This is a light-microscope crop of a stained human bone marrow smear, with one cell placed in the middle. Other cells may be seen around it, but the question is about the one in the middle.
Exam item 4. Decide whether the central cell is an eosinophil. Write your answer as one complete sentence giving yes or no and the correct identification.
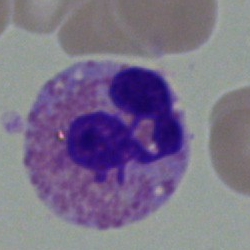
Yes, that is an eosinophil in the middle of the crop.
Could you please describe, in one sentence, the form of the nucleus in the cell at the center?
The nucleus is divided into two or more distinct lobes.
